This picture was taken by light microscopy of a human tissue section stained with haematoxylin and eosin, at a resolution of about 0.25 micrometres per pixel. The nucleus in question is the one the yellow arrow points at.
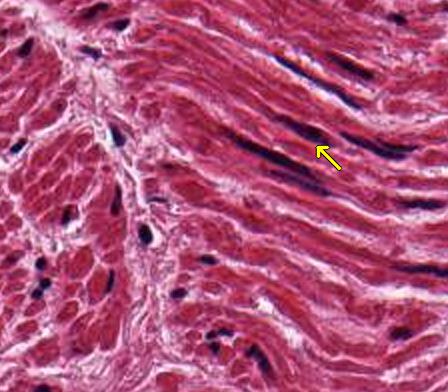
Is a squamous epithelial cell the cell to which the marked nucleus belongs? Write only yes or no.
no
